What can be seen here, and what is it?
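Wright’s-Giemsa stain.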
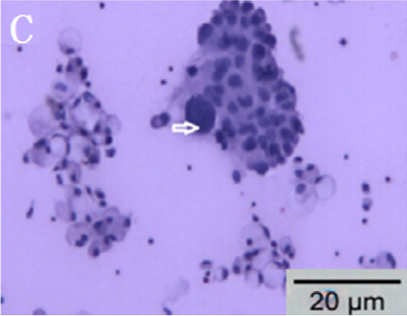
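One cluster holds crowded cells with large, dark purple nuclei, and one cell marked by the arrow has an especially large, round, deeply stained nucleus. Beside it lie loose groups of rounded cells with pale, bubbly cytoplasm and smaller nuclei.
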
